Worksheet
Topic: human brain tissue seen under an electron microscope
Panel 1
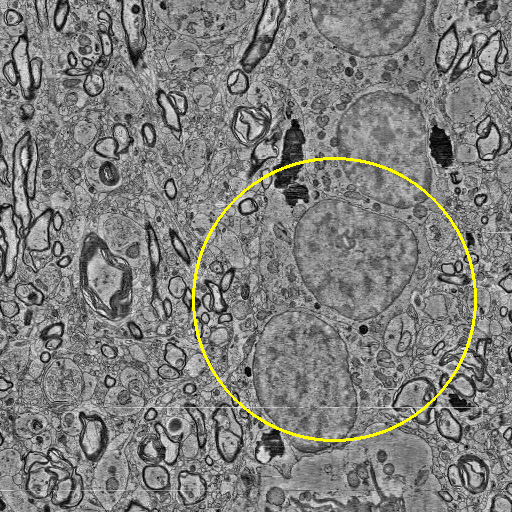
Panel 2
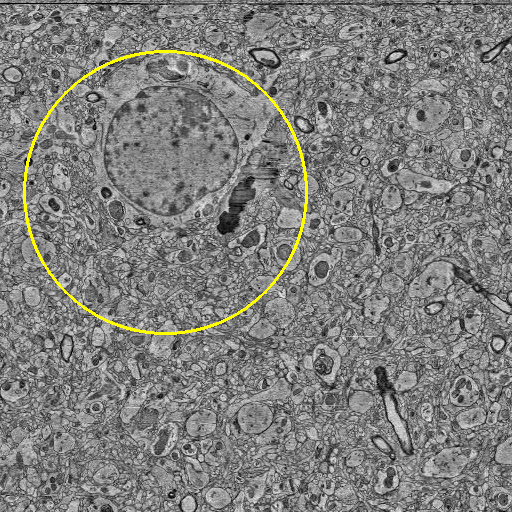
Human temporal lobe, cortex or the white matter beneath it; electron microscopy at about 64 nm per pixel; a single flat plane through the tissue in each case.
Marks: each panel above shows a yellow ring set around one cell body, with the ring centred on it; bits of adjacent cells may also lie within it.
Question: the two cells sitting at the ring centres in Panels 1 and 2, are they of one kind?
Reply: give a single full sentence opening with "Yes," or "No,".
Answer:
No, the two ring-centre cells in Panel 1 and Panel 2 are of two kinds.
